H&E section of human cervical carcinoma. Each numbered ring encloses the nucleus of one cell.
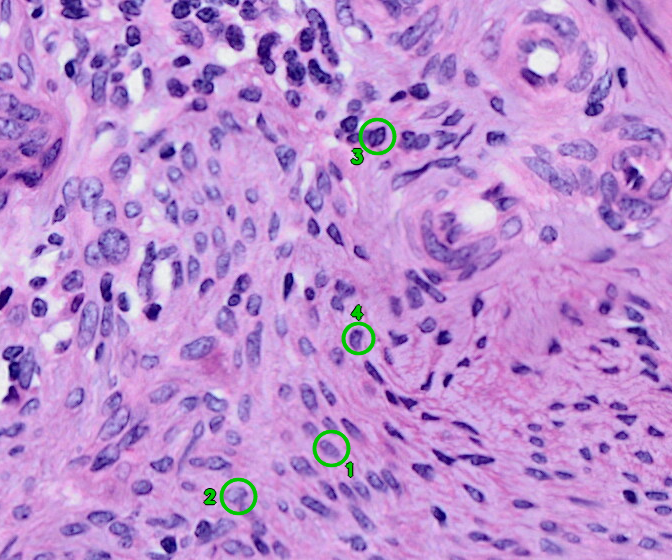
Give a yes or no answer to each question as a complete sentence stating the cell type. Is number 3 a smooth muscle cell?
No, the cell given number 3 is a lymphocyte, not a smooth muscle cell.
